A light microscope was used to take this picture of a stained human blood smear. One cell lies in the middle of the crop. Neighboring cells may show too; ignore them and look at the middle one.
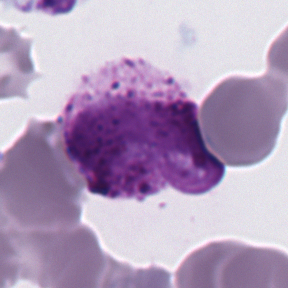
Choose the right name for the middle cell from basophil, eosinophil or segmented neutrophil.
basophil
